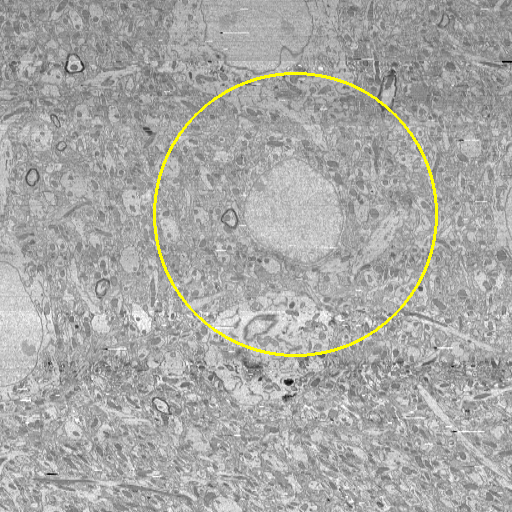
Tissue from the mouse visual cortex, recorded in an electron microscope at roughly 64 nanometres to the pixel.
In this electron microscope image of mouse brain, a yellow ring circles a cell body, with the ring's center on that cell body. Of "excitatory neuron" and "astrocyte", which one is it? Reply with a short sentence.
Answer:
It is an astrocyte at the center of the ring.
